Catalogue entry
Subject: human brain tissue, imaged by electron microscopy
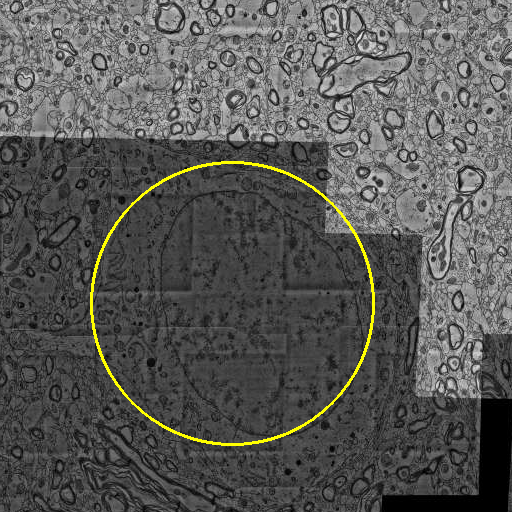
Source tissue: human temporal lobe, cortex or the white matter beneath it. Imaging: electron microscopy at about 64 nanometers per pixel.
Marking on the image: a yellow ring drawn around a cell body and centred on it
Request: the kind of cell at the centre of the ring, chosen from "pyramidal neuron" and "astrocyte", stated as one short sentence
The ring has a pyramidal neuron at its centre.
